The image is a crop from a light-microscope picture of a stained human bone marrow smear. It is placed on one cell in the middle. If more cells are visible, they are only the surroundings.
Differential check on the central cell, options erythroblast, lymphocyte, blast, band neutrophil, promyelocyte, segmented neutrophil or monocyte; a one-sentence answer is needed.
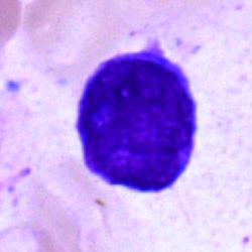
The cell at the heart of this crop is a blast.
